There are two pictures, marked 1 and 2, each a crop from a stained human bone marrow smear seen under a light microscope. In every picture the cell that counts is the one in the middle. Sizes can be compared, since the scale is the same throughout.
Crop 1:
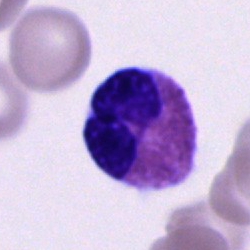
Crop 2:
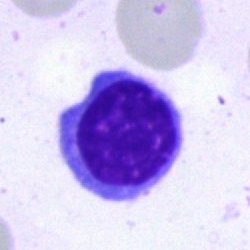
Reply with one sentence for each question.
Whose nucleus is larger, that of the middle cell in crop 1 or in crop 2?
Larger is the nucleus in crop 2, at roughly 1.5 times the area of the other.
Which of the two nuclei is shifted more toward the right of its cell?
Seen within its cell, the nucleus in crop 2 lies further toward the right.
